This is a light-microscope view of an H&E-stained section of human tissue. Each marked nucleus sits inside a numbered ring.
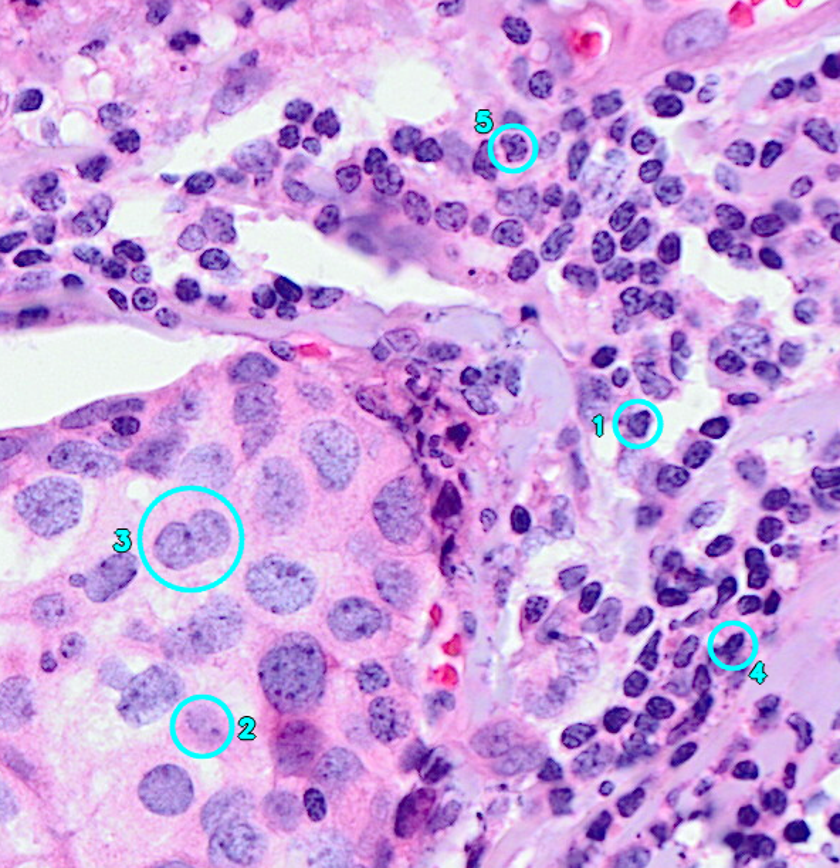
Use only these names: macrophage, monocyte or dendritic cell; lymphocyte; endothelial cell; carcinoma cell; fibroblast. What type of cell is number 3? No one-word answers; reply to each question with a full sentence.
Cell 3, among those numbered, is a carcinoma cell.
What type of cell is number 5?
The numbered cell 5 is identified here as a lymphocyte.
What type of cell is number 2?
The cell marked with number 2 is a carcinoma cell.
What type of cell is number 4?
The cell pointed out as number 4 is a lymphocyte.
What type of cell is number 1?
The cell marked with number 1 is a lymphocyte.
